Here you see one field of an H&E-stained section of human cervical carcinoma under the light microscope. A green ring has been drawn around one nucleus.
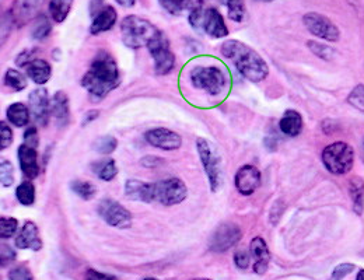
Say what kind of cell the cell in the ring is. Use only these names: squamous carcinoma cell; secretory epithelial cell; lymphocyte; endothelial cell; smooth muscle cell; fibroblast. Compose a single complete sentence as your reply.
Assigned to a cell type, the cell in the ring is a lymphocyte.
